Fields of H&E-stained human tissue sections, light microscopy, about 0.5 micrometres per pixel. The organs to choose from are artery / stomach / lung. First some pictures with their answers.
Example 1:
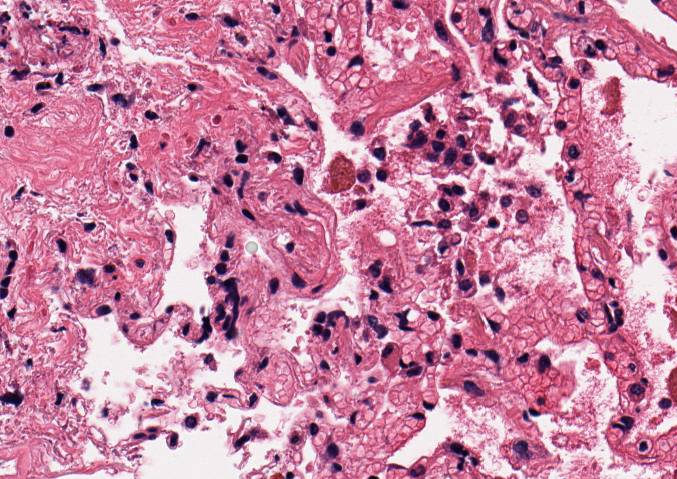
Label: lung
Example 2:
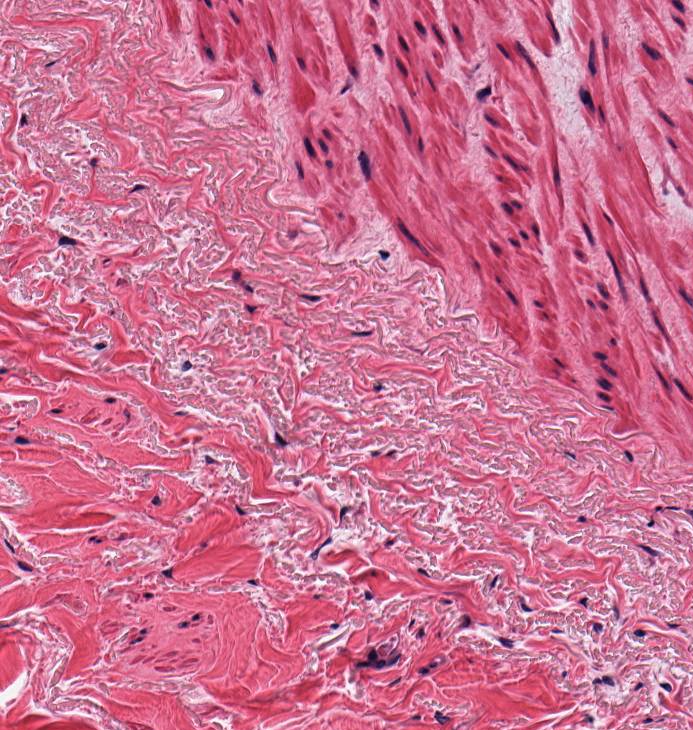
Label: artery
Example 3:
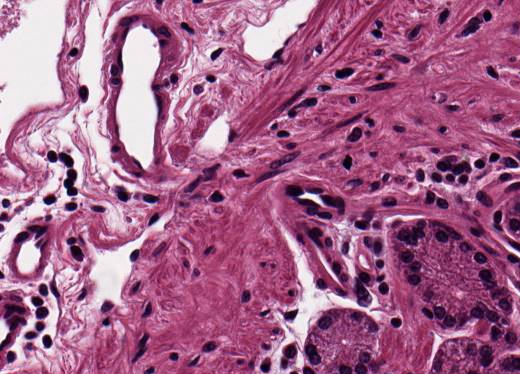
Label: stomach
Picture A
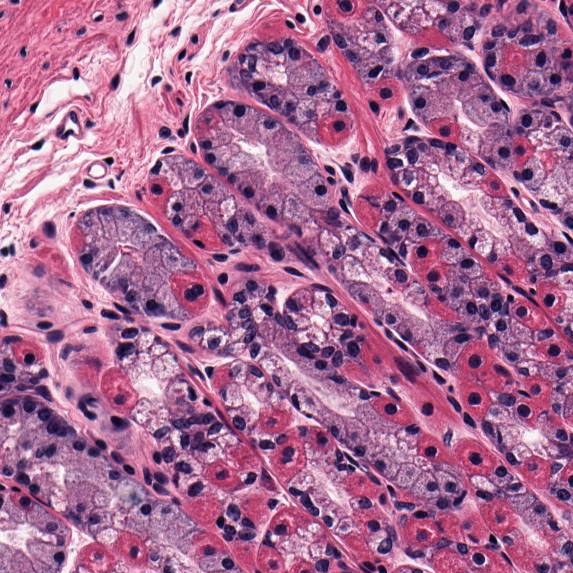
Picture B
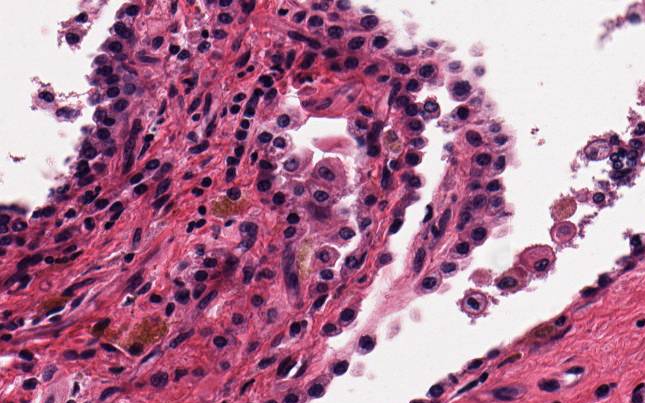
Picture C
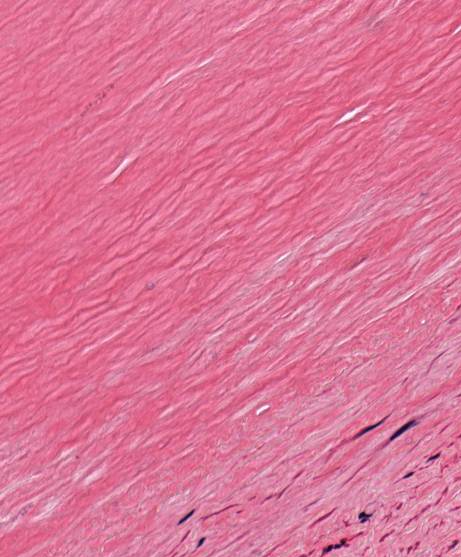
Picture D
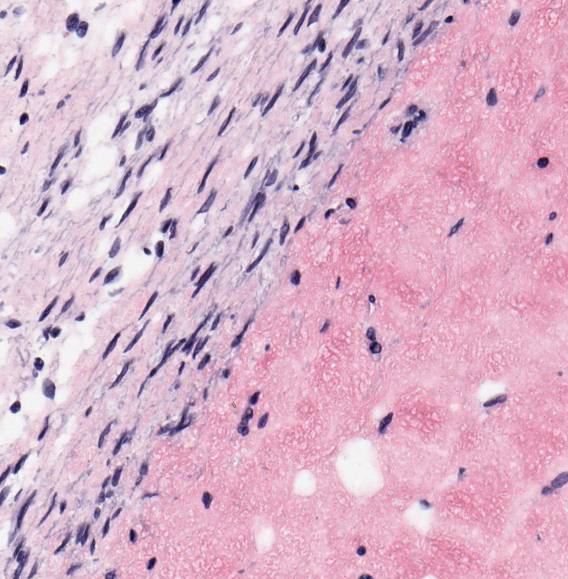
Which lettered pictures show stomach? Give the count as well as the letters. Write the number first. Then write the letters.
2: A, D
